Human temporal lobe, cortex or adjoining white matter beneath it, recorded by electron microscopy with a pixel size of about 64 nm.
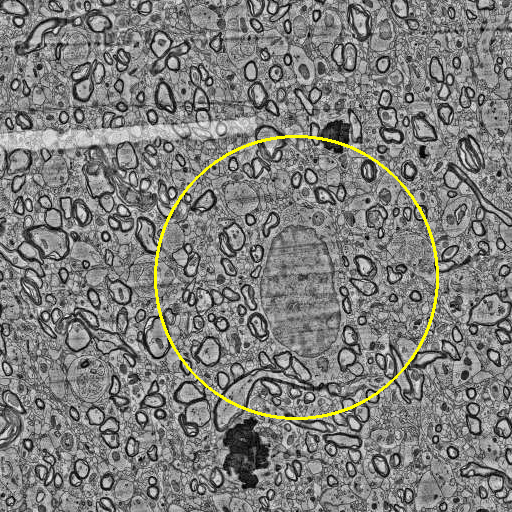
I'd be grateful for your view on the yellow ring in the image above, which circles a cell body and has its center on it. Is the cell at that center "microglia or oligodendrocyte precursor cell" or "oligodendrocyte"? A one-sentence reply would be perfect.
The cell at the center of the yellow ring is an oligodendrocyte.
